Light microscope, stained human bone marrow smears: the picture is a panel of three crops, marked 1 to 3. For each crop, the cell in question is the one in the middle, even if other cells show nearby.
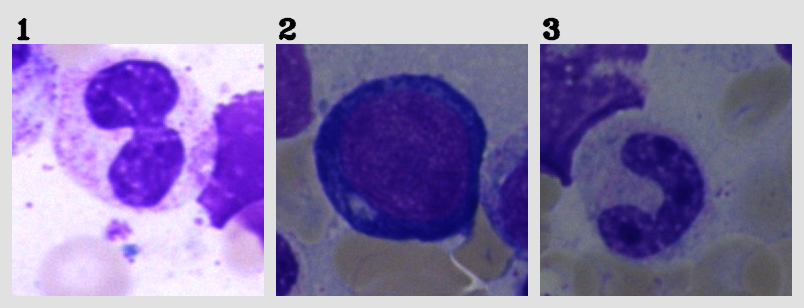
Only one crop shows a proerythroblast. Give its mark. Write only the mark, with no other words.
2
